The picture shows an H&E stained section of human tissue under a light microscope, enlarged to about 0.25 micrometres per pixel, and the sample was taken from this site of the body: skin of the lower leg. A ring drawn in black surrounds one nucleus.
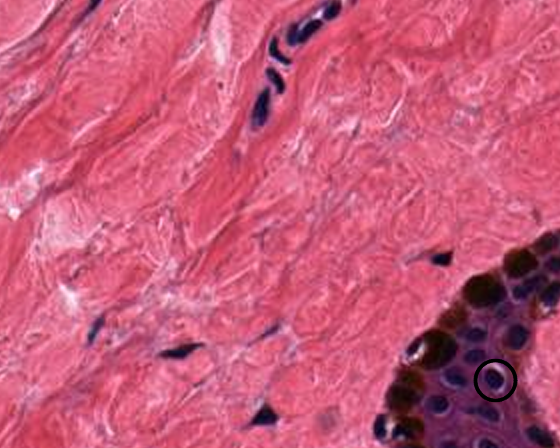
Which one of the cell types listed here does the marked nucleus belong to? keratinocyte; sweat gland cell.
keratinocyte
